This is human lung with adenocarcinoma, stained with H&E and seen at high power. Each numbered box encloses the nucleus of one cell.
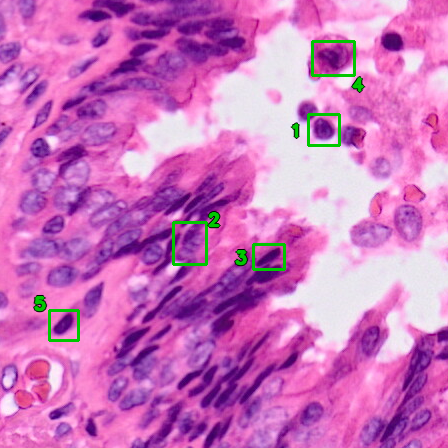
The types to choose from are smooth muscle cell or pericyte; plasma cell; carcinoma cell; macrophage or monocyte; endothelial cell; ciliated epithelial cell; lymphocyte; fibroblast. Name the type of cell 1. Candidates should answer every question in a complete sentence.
Regarding cell 1, this one is a lymphocyte.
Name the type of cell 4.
In the marked set, the cell given number 4 is a macrophage or monocyte.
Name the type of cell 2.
The marked nucleus 2 is that of a ciliated epithelial cell.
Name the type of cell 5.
In this section, number 5 marks a plasma cell.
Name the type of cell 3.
Regarding cell 3, this one is a ciliated epithelial cell.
